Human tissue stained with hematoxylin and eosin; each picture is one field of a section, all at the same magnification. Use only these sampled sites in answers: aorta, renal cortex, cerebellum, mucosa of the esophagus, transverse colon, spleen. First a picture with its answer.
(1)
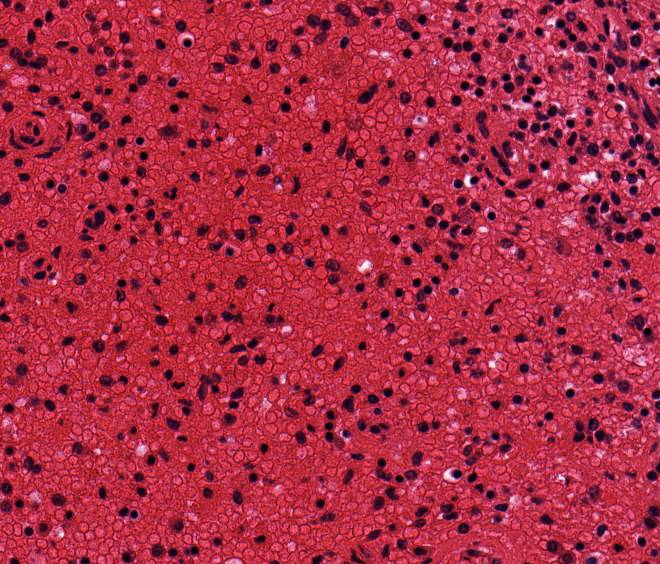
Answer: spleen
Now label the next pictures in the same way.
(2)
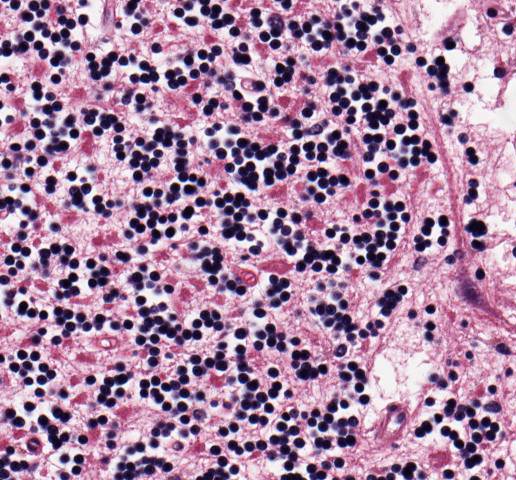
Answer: cerebellum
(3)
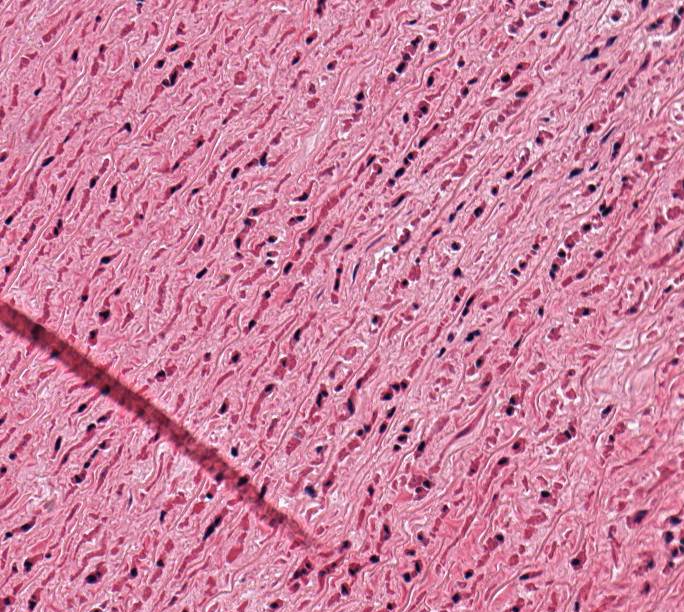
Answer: aorta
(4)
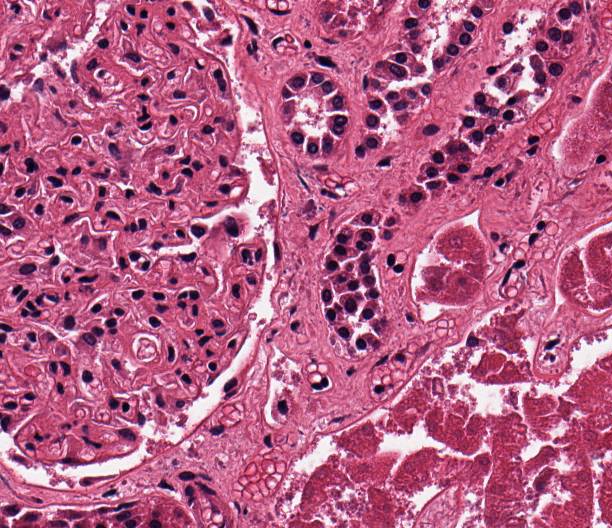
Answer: renal cortex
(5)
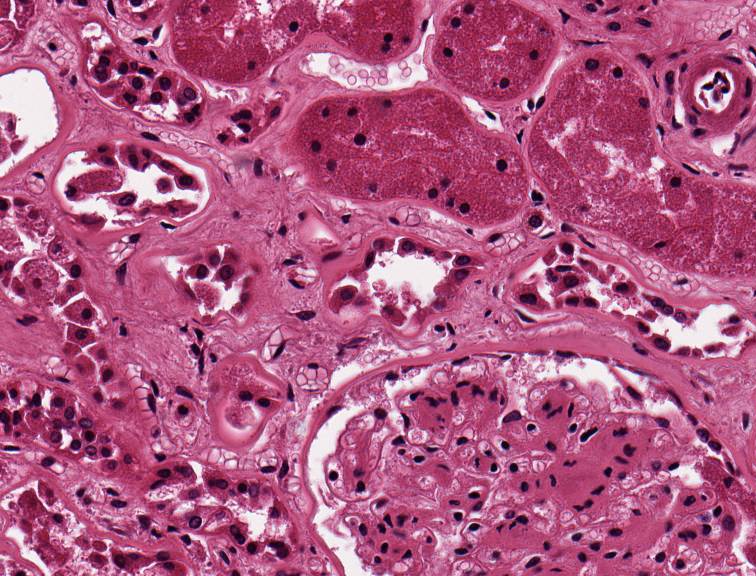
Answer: renal cortex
